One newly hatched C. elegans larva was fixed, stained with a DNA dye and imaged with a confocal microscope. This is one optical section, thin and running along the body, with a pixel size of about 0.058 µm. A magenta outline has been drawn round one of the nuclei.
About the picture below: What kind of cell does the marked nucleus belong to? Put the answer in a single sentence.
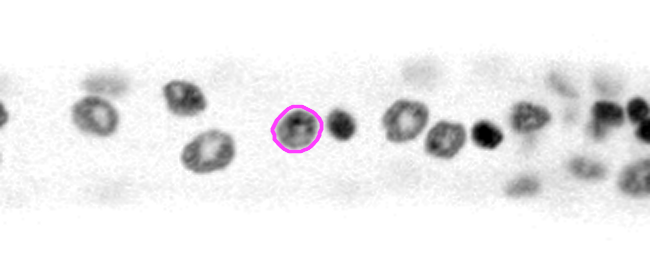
It is the nucleus of a seam cell.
